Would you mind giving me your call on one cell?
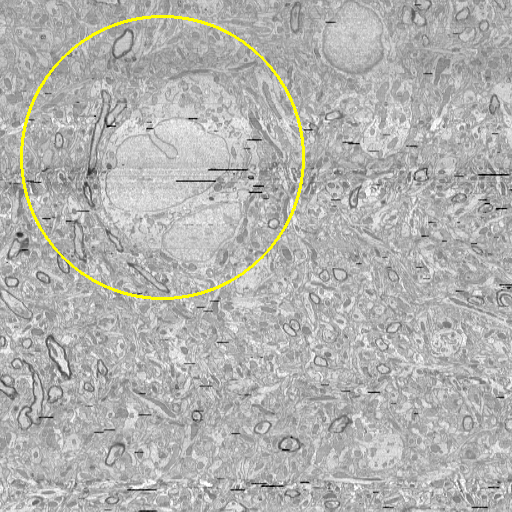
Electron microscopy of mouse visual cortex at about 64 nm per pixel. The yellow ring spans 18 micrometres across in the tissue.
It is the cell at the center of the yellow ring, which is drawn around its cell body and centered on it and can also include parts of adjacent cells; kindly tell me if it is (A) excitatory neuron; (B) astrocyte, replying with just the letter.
A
